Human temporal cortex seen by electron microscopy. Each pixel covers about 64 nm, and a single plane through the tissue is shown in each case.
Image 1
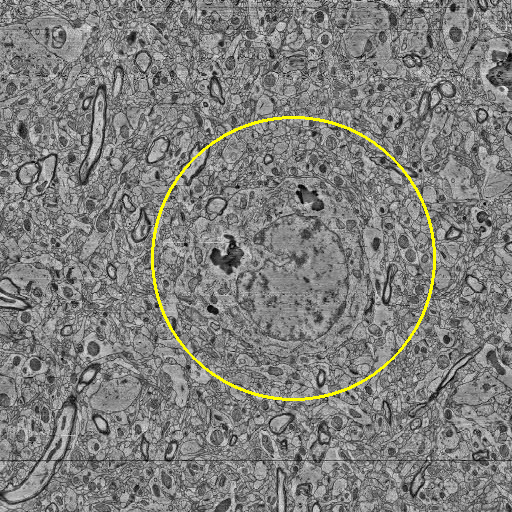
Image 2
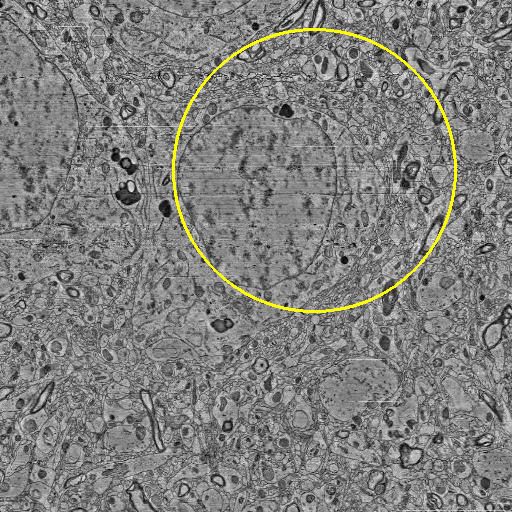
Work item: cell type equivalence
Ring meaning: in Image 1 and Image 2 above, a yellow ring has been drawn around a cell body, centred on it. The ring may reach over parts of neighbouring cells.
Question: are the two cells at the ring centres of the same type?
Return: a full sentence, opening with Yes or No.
No, the two centred cells are of two types.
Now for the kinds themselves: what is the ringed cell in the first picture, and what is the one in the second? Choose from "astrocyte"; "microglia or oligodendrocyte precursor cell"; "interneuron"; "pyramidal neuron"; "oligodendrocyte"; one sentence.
Here the first cell is an interneuron and the second cell is a pyramidal neuron.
